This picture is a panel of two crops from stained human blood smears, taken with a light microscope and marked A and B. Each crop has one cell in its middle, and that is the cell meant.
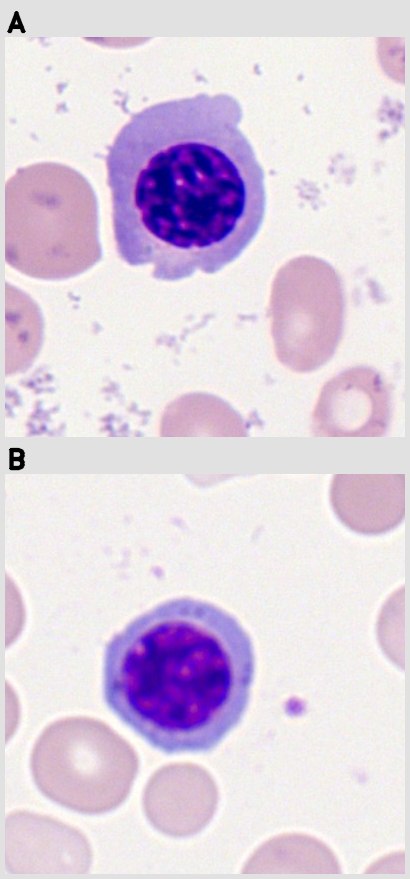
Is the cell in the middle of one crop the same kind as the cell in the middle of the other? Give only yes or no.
yes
